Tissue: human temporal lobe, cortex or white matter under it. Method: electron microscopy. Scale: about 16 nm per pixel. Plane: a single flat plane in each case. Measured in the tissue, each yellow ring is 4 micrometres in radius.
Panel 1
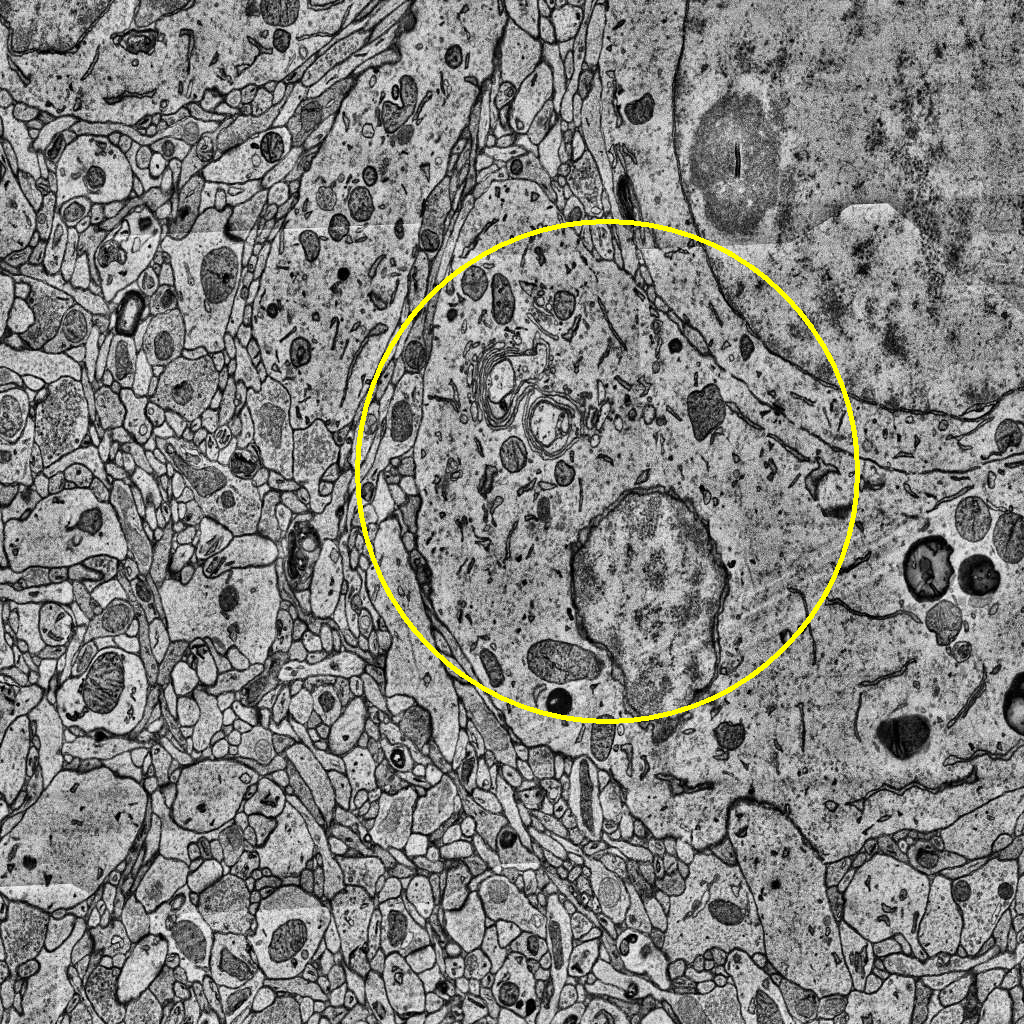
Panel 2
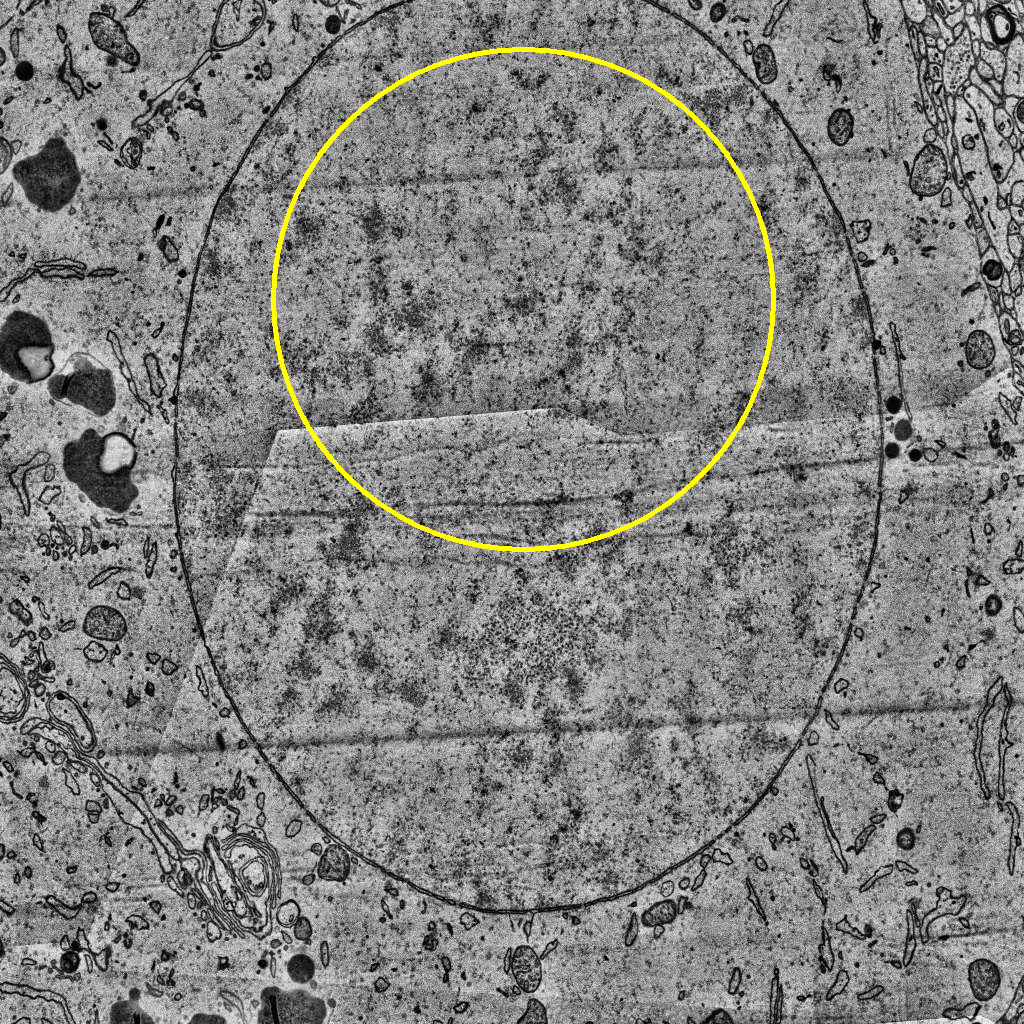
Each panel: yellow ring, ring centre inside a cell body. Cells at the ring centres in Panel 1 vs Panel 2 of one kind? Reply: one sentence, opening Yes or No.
Yes, Panel 1 and Panel 2 have cells of one kind at the ring centres.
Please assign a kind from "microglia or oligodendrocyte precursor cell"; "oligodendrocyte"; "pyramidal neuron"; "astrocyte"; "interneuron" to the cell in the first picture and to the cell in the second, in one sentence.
Each of the two pictures has a pyramidal neuron at the ring centre.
